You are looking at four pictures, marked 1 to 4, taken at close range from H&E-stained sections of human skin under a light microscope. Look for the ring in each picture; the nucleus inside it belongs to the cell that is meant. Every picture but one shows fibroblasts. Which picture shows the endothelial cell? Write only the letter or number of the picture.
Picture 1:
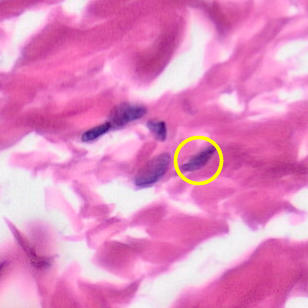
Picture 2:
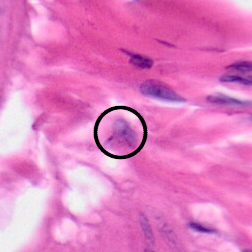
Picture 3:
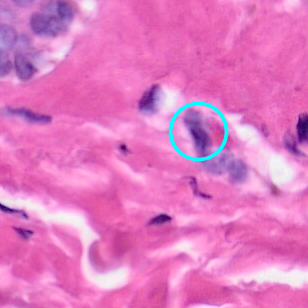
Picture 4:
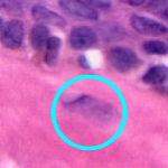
3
